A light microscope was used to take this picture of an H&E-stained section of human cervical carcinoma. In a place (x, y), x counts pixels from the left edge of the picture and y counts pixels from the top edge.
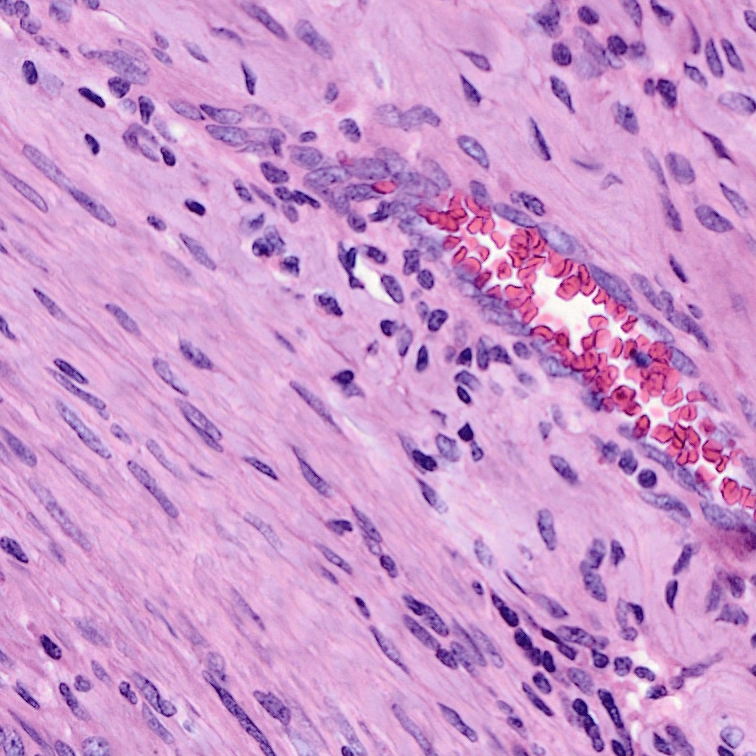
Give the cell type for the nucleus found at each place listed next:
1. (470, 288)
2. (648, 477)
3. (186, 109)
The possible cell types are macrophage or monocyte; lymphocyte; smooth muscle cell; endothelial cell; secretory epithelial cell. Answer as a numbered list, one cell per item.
1. endothelial cell
2. lymphocyte
3. endothelial cell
